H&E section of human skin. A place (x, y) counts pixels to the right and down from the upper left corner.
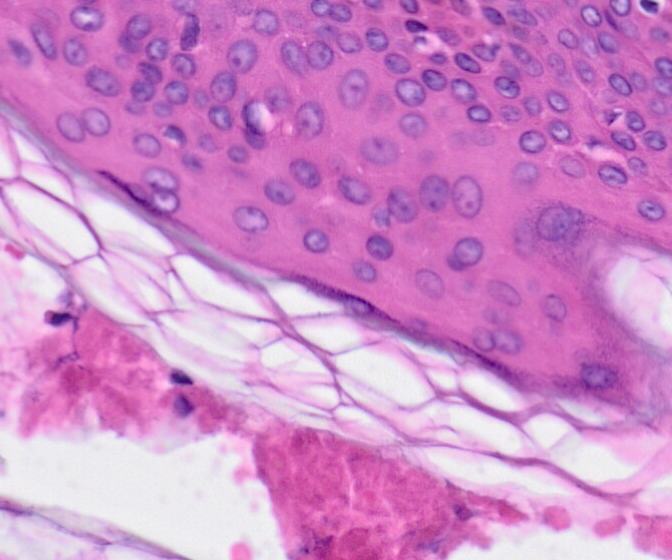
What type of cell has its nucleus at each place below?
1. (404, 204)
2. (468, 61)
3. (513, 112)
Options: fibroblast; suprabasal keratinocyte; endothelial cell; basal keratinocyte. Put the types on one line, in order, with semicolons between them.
suprabasal keratinocyte; basal keratinocyte; suprabasal keratinocyte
